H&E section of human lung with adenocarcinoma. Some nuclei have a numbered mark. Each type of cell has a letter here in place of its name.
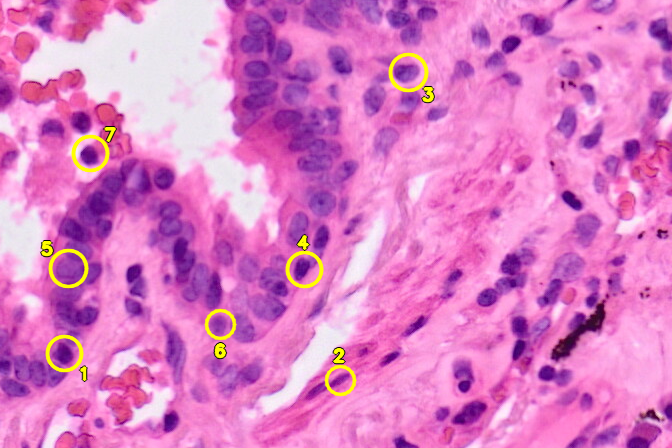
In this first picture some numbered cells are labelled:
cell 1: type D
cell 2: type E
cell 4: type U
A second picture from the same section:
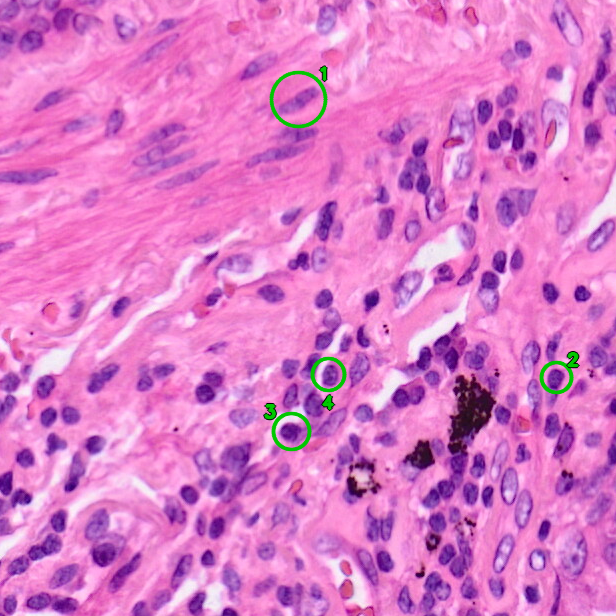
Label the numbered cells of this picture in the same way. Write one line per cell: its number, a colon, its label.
1: type E
2: type U
3: type U
4: type U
